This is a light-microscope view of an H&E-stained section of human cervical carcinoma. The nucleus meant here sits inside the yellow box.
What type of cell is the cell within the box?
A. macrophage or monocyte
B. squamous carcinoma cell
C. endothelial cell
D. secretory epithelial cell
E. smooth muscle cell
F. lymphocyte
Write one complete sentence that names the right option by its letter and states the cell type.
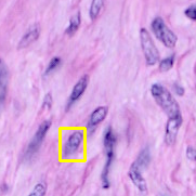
Option E is the right choice, for the cell within the box is a smooth muscle cell.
